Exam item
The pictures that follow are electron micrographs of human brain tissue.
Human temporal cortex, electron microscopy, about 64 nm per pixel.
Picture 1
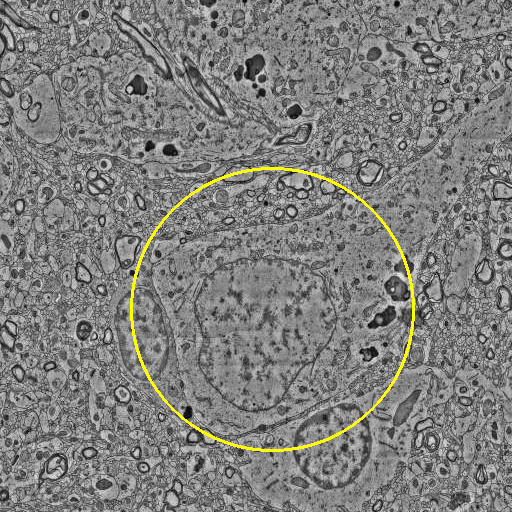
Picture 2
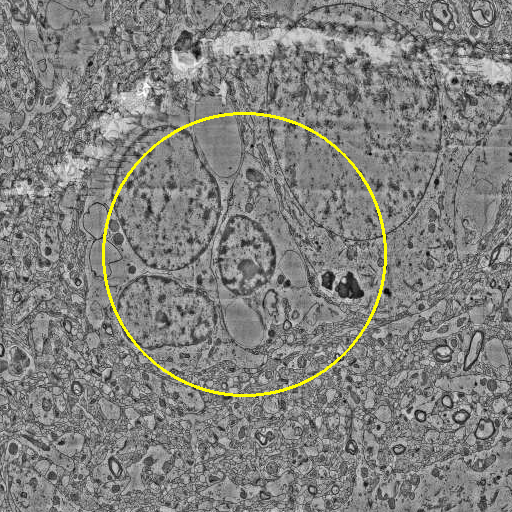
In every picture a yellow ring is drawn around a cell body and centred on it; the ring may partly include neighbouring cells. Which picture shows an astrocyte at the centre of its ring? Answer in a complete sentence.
The cell at the centre of the ring in Picture 2 is the one asked for.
